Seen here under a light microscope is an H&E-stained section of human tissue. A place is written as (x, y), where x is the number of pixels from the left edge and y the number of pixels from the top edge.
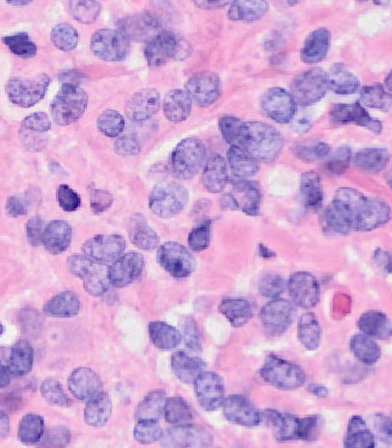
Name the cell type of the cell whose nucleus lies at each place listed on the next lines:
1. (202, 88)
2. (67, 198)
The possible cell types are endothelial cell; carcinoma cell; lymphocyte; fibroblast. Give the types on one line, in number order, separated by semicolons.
carcinoma cell; lymphocyte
